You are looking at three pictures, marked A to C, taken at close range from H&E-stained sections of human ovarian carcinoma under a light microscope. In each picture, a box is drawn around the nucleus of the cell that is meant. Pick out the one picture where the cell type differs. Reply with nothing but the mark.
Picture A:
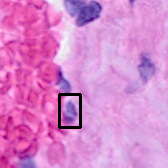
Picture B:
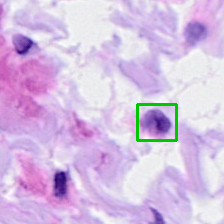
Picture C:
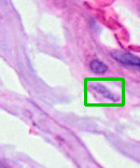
A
